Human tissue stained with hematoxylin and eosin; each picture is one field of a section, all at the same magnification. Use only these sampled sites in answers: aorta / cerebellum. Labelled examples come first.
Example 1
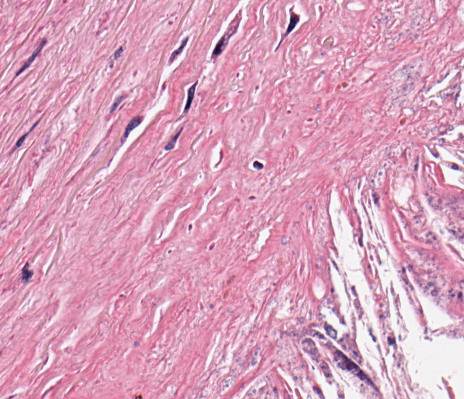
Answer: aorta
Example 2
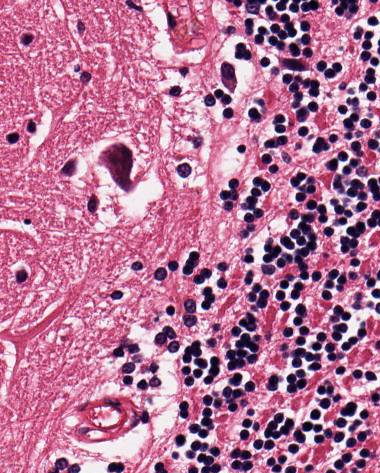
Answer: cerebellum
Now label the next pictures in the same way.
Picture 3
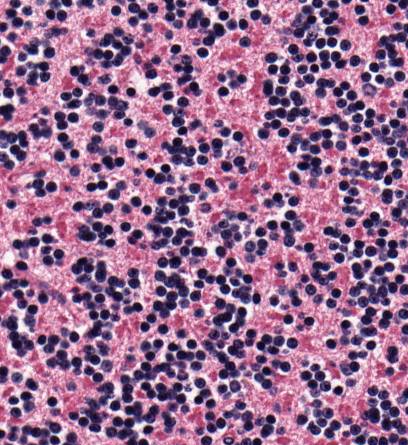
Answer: cerebellum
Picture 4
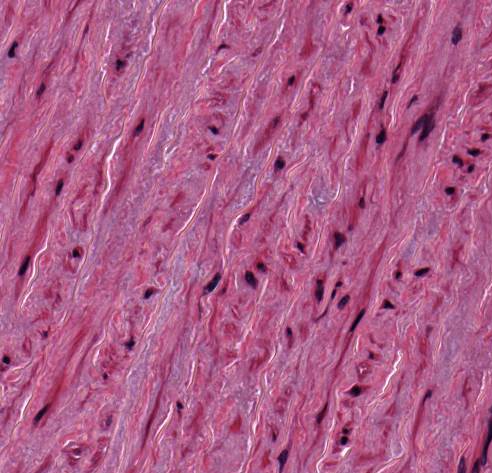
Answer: aorta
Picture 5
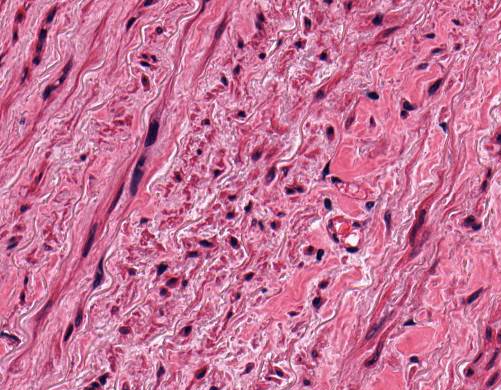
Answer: aorta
